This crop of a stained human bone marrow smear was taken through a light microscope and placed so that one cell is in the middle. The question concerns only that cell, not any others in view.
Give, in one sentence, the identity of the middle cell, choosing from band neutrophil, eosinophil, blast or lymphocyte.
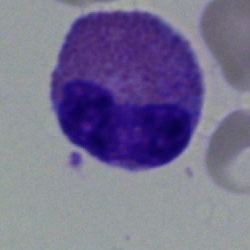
In this smear crop, the middle cell is an eosinophil.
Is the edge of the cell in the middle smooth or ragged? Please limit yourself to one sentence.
Edge check done: smooth outline, no projections present.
